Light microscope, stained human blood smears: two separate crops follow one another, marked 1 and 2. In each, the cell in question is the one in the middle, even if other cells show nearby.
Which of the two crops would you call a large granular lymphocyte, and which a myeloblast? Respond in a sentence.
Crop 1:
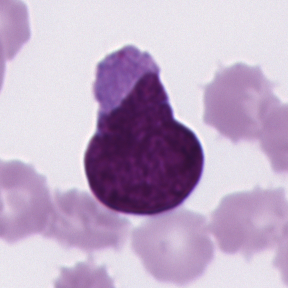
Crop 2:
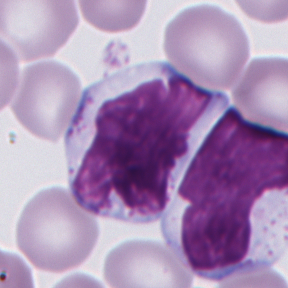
The cell that crop 1 centres on is a myeloblast, and the cell that crop 2 centres on is a large granular lymphocyte.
